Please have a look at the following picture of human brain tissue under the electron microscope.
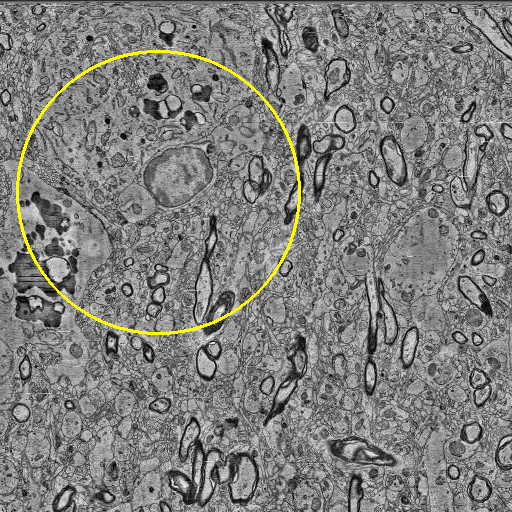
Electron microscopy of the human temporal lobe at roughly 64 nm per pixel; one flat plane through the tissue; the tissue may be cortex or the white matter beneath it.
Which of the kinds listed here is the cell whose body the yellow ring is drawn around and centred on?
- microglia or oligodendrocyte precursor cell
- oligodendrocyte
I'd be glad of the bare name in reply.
microglia or oligodendrocyte precursor cell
